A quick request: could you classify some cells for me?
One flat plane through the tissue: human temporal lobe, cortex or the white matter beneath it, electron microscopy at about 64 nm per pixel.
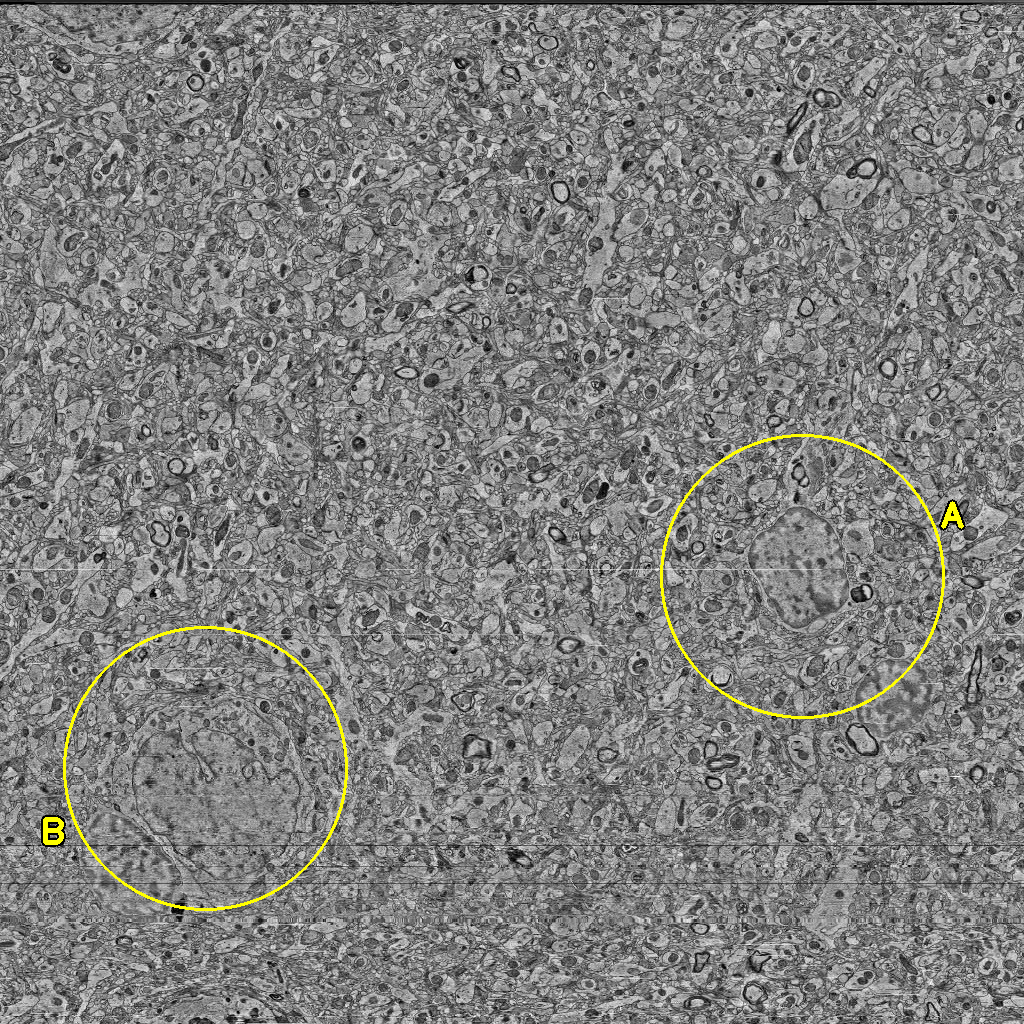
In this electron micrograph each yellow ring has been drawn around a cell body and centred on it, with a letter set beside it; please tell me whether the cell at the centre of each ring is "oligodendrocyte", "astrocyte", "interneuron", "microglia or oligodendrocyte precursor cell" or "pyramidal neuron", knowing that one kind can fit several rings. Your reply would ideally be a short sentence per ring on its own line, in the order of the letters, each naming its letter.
Ring A has a microglial cell or oligodendrocyte precursor cell at its centre.
Ring B has an interneuron at its centre.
